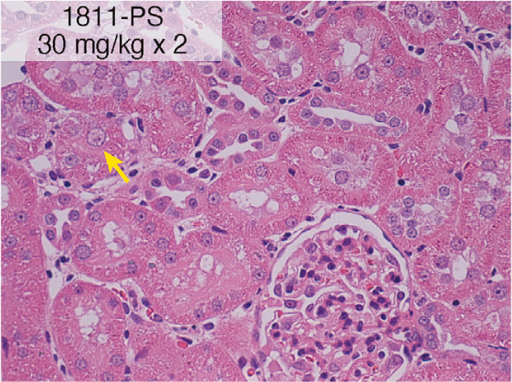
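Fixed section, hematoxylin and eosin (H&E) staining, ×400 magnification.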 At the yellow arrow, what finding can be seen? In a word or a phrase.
Nuclear enlargement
